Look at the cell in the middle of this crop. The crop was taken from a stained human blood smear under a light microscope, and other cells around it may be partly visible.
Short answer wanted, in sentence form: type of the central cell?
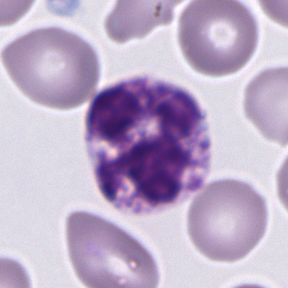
This particular crop is centered on a basophil.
